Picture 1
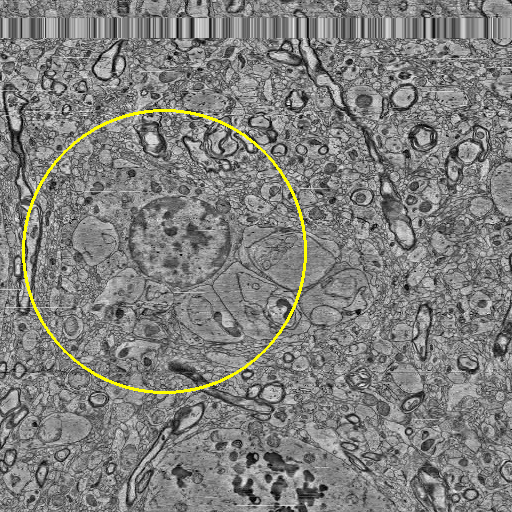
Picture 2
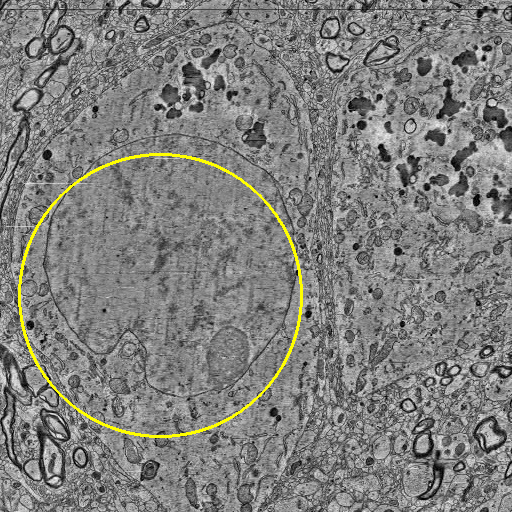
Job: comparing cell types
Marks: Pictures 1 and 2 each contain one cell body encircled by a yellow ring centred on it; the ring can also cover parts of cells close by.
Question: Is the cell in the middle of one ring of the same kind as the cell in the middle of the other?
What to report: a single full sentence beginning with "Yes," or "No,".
No, the cell at the ring centre in Picture 1 and its partner in Picture 2 are of two kinds.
